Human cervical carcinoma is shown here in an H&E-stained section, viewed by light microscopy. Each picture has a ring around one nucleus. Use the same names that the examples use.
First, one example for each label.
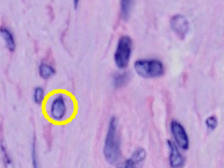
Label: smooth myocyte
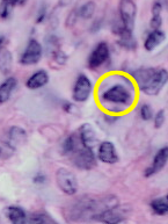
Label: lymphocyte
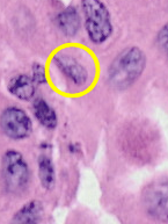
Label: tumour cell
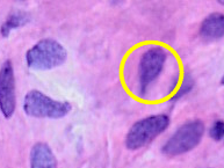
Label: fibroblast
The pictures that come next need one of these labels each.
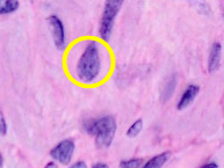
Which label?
fibroblast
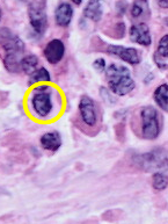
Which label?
lymphocyte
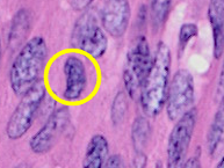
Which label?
tumour cell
